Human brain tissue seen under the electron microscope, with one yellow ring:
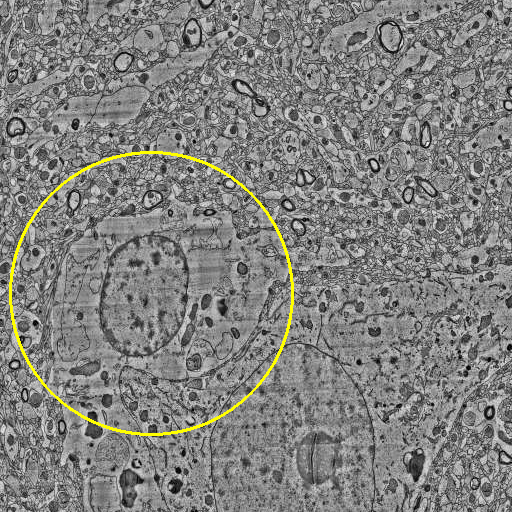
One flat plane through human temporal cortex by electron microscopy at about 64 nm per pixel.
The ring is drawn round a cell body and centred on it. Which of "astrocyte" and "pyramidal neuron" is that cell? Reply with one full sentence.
The picture shows an astrocyte at the very centre of the yellow ring.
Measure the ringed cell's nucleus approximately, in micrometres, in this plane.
The nucleus comes to roughly 8 by 6 micrometres in this plane.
